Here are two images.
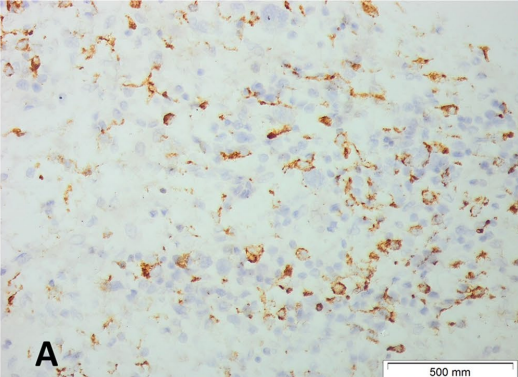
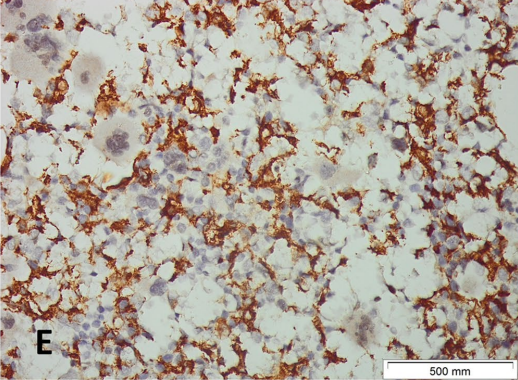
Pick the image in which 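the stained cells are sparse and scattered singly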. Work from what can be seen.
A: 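Second image: brown-stained cells with processes form a dense interconnected mesh. First image: brown-stained cells are few, small and separated by unstained tissue. That points to this answer: the first image.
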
